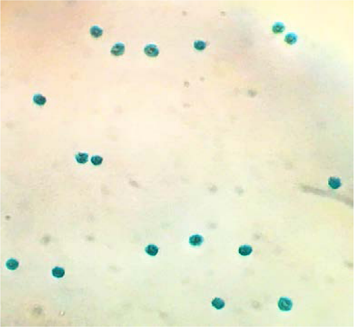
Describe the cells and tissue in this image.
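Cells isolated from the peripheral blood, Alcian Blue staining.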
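Scattered over a pale beige field lie small, round basophils, each stained an intense blue-green. They are about equal in size and lie singly or in loose pairs, with no clumps or tissue between them. The colour fills each cell densely, with a slightly darker rim or centre in some, which fits a granule-rich cytoplasm. Fainter grey specks in the background show no such colour.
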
